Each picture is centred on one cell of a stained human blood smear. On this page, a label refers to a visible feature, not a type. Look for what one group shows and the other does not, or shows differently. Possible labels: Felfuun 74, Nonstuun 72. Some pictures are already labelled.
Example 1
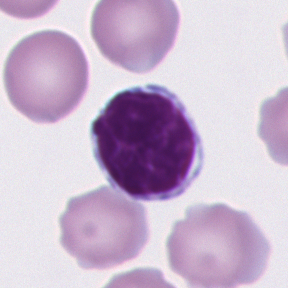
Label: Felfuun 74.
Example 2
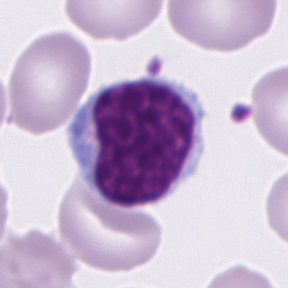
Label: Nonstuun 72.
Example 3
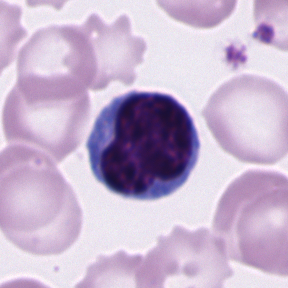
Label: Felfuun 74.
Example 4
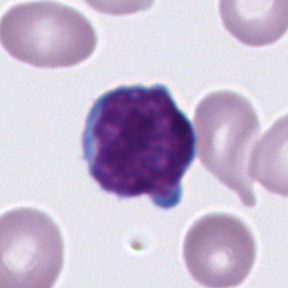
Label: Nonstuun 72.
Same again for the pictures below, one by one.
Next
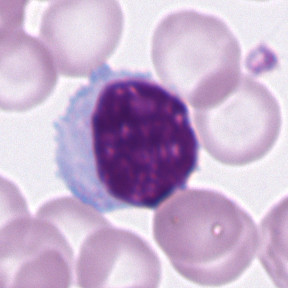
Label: Nonstuun 72.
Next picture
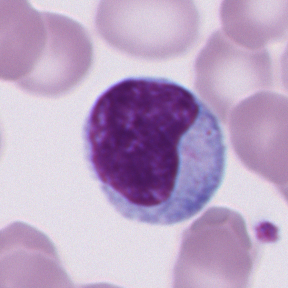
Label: Felfuun 74.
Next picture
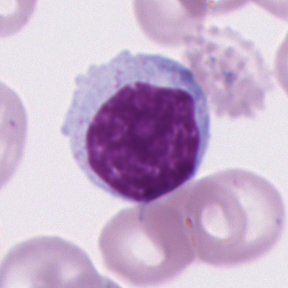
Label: Nonstuun 72.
